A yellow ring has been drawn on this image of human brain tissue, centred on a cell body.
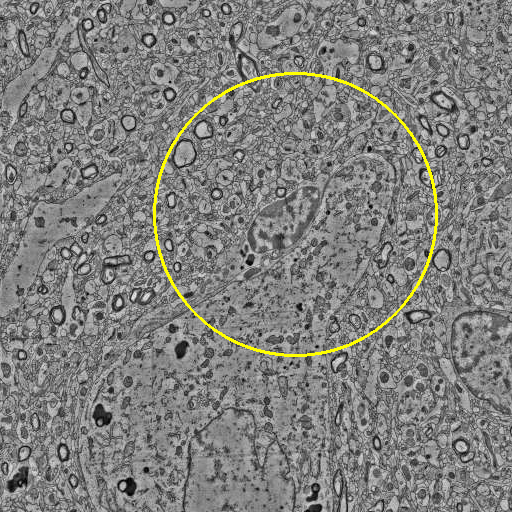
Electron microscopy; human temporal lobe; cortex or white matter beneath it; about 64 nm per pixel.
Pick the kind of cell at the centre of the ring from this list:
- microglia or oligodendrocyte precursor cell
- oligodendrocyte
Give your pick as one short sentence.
The centre of the ring holds a microglial cell or oligodendrocyte precursor cell.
